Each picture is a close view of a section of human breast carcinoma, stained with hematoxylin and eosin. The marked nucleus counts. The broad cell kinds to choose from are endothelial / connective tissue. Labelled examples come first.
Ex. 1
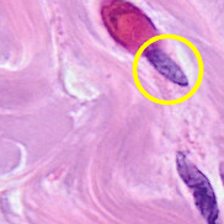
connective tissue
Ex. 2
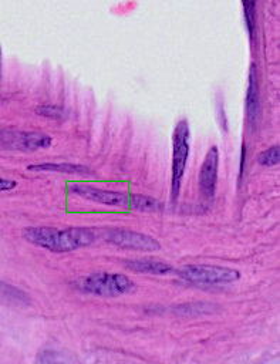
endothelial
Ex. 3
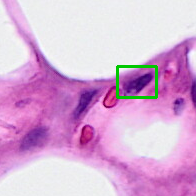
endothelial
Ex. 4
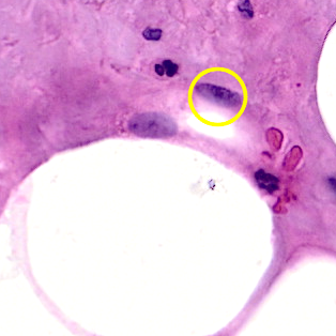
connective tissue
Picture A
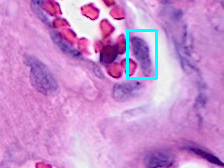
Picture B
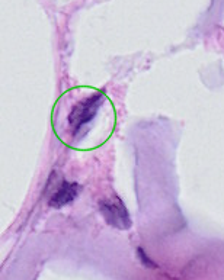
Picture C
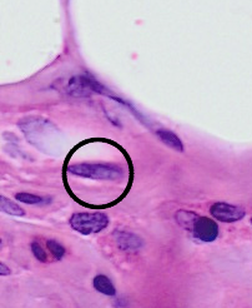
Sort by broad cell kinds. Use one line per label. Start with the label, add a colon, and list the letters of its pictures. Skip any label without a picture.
endothelial: A, C
connective tissue: B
